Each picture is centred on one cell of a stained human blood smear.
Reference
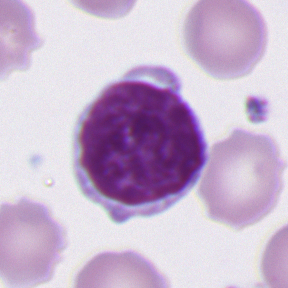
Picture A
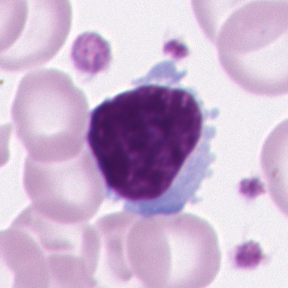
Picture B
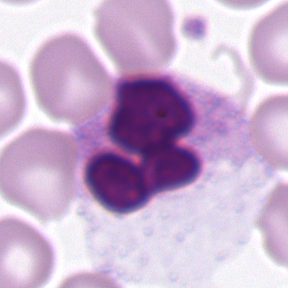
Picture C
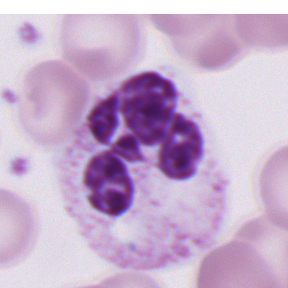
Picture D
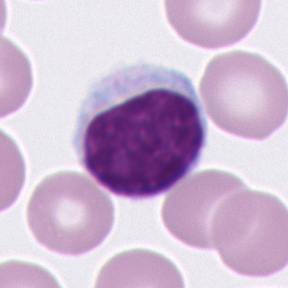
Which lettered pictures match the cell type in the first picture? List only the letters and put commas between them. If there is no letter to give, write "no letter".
A, D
